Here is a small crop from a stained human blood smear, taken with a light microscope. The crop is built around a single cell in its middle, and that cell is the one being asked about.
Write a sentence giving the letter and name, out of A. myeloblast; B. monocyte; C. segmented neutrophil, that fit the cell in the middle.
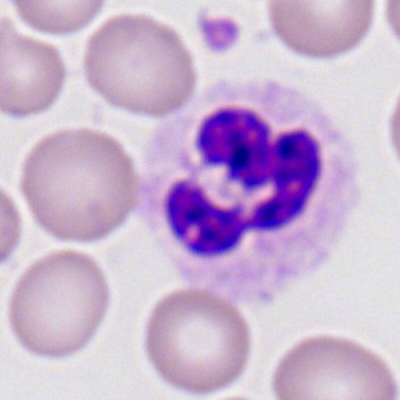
Since the cell in the middle is a segmented neutrophil, option C is correct.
